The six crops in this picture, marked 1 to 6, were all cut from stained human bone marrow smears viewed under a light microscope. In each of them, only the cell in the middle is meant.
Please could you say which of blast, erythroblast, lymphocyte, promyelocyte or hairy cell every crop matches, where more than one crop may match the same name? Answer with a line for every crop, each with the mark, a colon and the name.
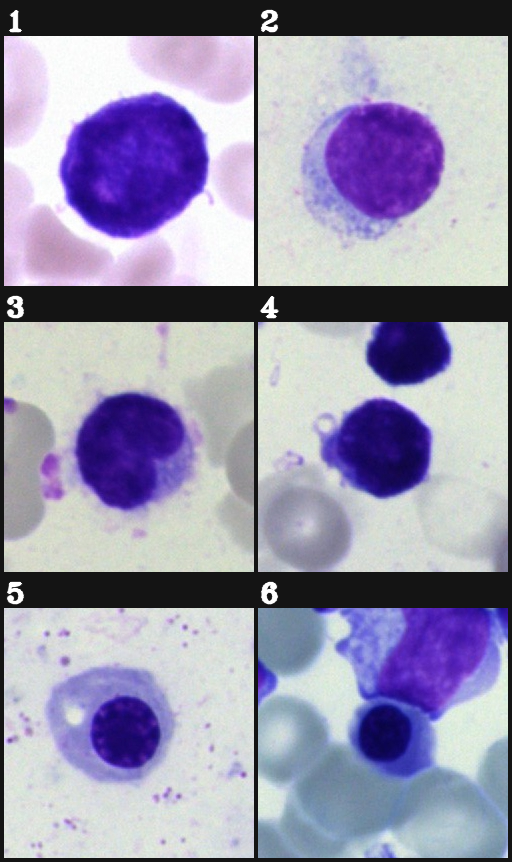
1: blast
2: hairy cell
3: hairy cell
4: blast
5: erythroblast
6: erythroblast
